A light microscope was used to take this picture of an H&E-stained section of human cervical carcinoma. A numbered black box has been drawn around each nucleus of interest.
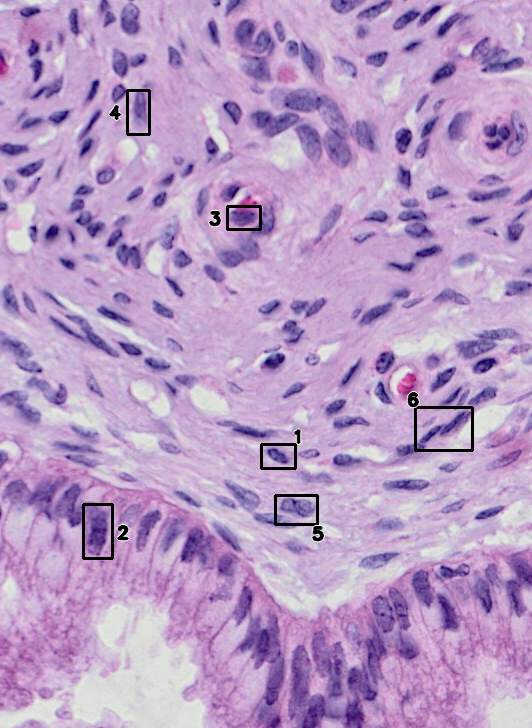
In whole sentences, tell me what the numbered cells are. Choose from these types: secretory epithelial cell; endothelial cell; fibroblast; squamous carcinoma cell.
Cell 1 is a fibroblast, cell 2 is a secretory epithelial cell, cell 3 is an endothelial cell, cell 4 is a fibroblast, cell 5 is a fibroblast and cell 6 is a fibroblast.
